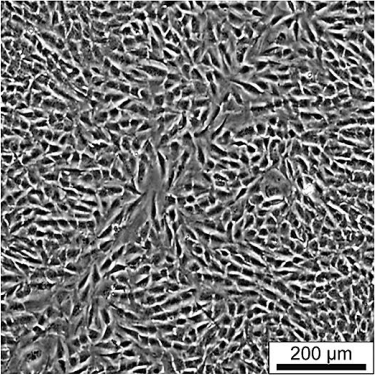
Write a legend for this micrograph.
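Most cells are elongated and spindle-shaped, with tapering ends and bright phase halos along their edges. In places the cells line up side by side in streams or whorls, giving the layer a swirling pattern. The individual cells vary in length and orientation, and the layer has no regular cobblestone arrangement.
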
